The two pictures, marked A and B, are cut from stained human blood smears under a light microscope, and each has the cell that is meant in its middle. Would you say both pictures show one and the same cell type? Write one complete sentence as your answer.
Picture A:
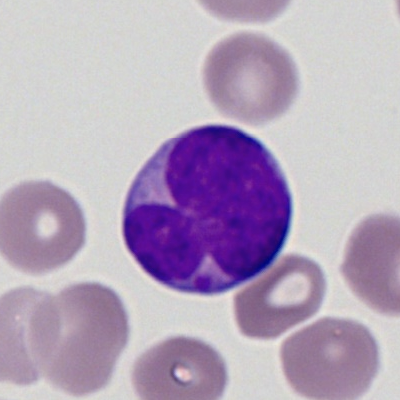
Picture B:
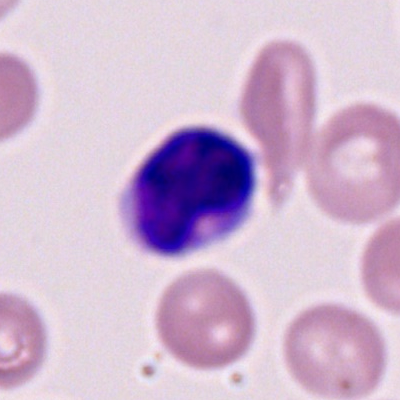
No; the cell in picture A is a myeloblast, while the one in picture B is a lymphocyte.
